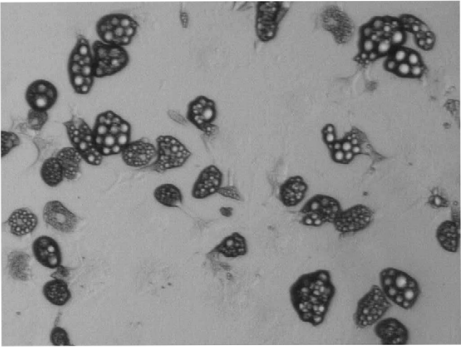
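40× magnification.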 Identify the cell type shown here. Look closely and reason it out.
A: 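Cells are rounded rather than spread out. Each rounded cell is packed with many clear, round droplets of varying size. Some droplets are large and fill much of the cell. So: round-shaped adipocytes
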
